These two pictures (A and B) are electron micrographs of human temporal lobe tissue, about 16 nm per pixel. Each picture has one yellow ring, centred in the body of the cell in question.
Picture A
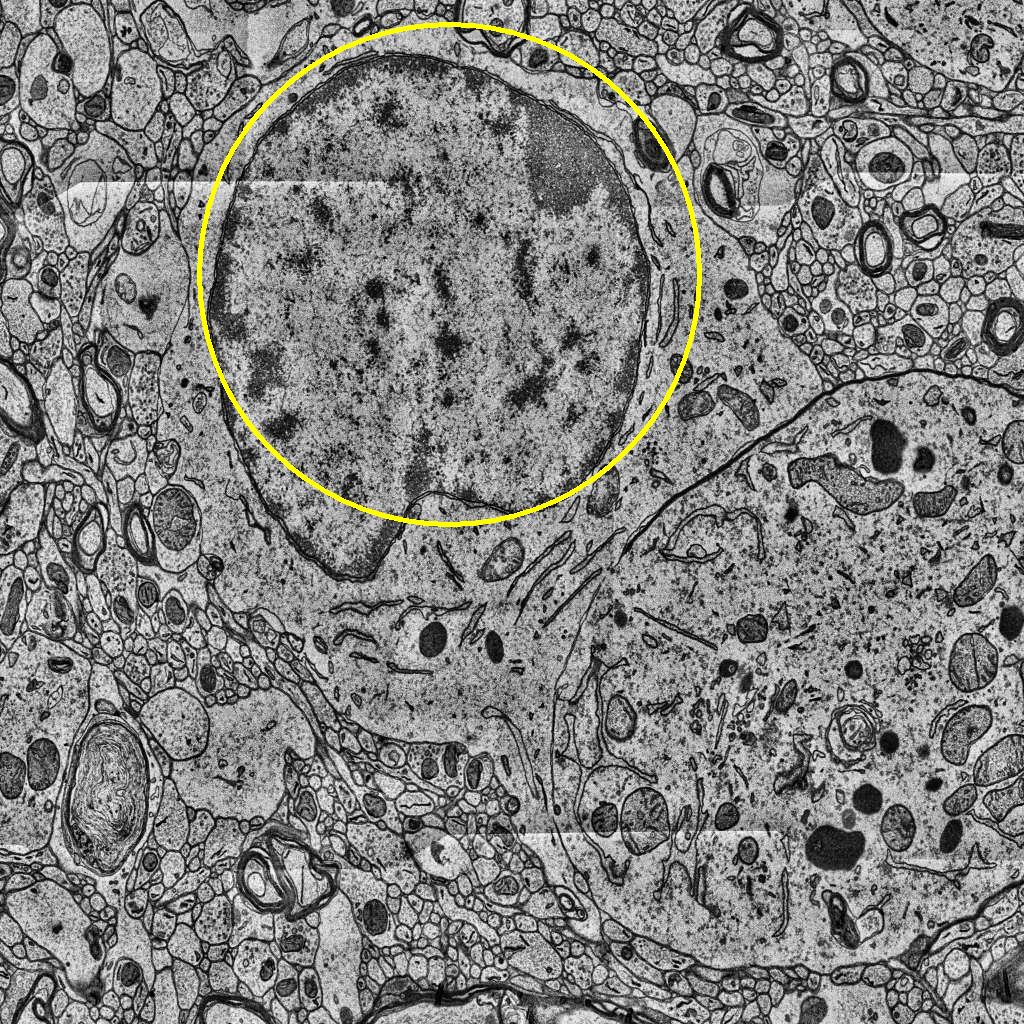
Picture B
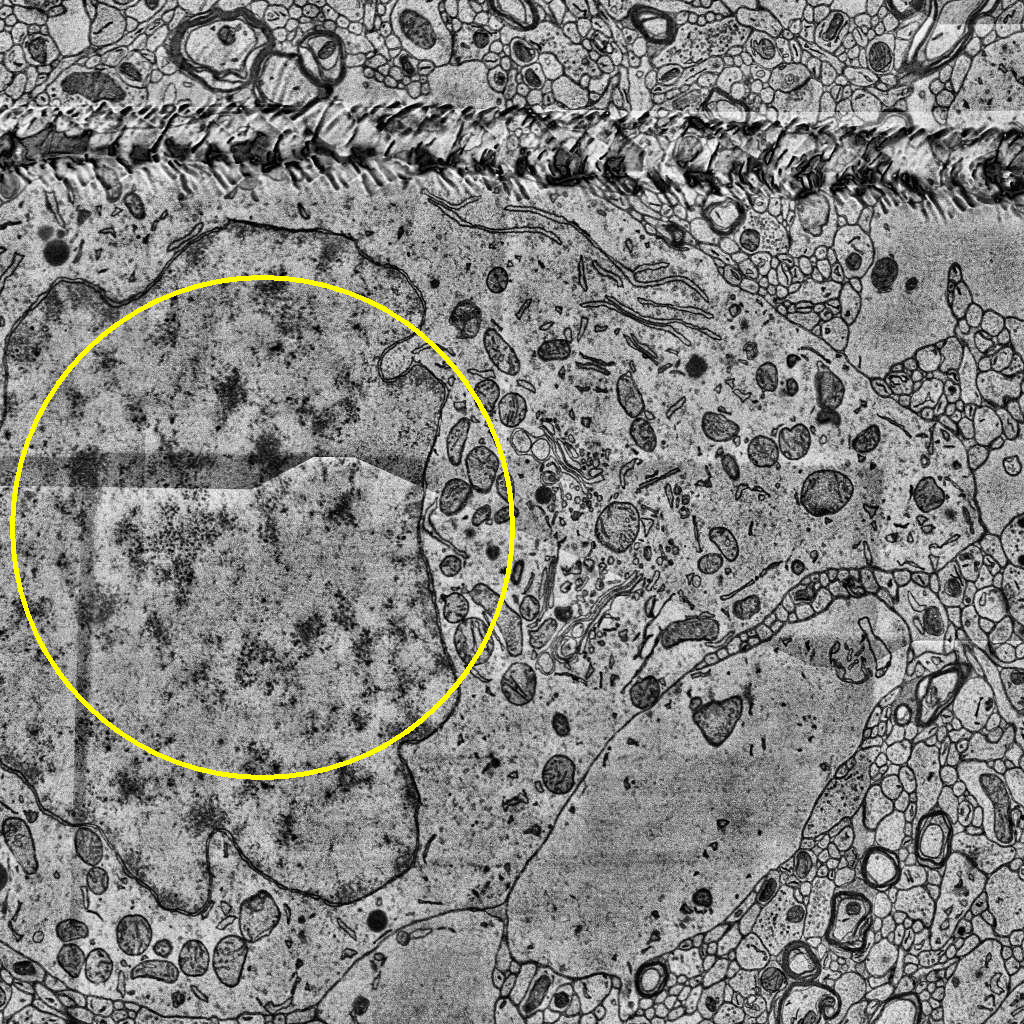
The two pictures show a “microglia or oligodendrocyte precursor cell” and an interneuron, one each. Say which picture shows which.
It is picture A that shows a “microglia or oligodendrocyte precursor cell”, and picture B that shows an interneuron.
